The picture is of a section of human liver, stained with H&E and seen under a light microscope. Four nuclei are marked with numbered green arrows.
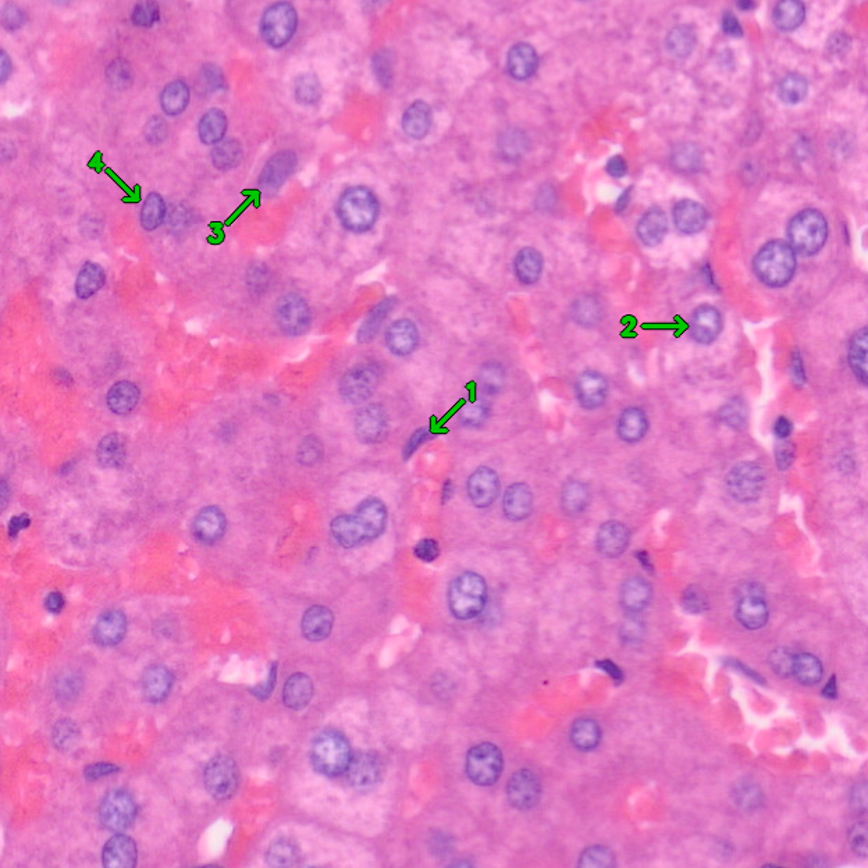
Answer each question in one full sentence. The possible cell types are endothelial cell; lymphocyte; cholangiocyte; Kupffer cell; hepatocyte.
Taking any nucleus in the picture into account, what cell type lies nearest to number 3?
The nucleus nearest to number 3 is that of a hepatocyte.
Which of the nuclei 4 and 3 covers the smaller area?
Nucleus 4 covers less area, with nucleus 3 about 1.5 times as large.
